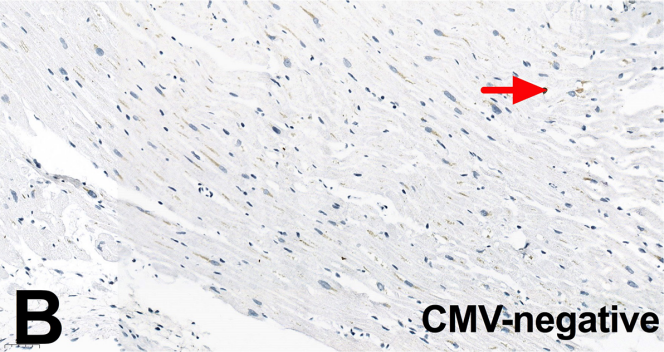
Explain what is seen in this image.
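Pale, parallel muscle fibres run diagonally across the field with many elongated blue nuclei, and a few pale clefts of interstitial space lie between bundles; this is myocardium cut along its fibres. Almost no brown-stained cells are seen: only a single small, dark brown rounded cell sits between fibres in the upper right part.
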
